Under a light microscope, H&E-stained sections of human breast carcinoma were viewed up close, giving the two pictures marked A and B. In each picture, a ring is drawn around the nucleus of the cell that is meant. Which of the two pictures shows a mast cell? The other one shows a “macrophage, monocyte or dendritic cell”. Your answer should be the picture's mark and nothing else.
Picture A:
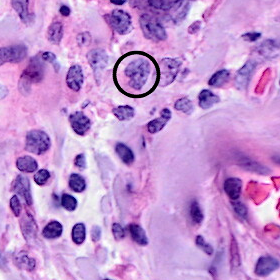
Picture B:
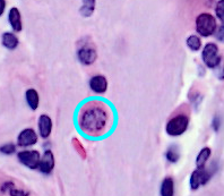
B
